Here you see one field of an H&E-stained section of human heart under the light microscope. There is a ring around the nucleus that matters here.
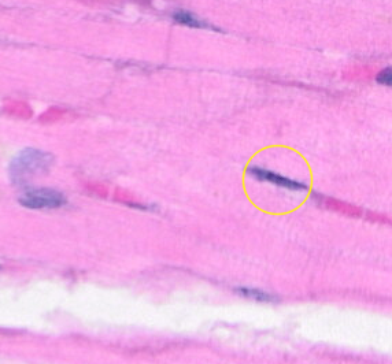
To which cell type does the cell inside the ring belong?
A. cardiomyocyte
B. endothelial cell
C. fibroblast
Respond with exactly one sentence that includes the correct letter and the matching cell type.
Option B, which has the cell inside the ring as an endothelial cell, is the correct choice.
